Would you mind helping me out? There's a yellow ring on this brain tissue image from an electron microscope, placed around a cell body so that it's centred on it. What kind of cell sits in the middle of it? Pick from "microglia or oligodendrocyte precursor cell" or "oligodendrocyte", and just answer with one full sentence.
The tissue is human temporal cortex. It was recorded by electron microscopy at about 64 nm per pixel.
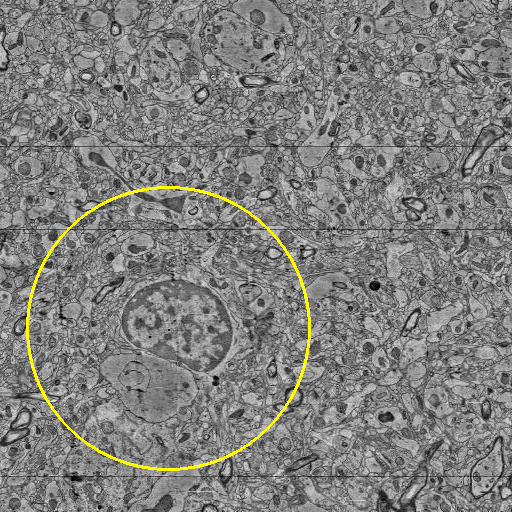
What sits in the middle of that yellow ring is a microglial cell or oligodendrocyte precursor cell, from your choices.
